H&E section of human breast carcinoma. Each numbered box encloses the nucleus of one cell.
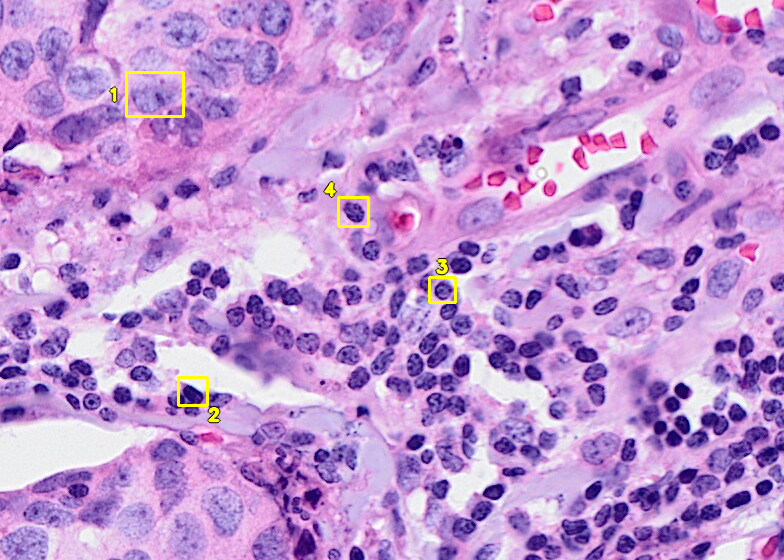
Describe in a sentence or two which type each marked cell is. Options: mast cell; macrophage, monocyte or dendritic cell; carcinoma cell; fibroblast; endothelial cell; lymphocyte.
Cell 1 is a carcinoma cell, cell 2 is a lymphocyte, cell 3 is a lymphocyte and cell 4 is a lymphocyte.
